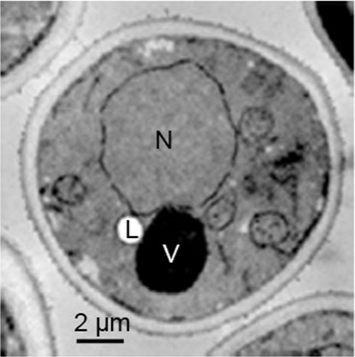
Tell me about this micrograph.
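This electron micrograph shows a yeast cell in cross-section, surrounded by a thick, pale grey cell wall, with parts of neighbouring cells at the corners. A large rounded nucleus occupies the centre, bounded by a thin dark envelope and filled with evenly grey material. Below it lies a dense, black vacuole. A small, round, white lipid droplet sits between the nucleus and the vacuole, touching both. Several smaller round membrane-bound profiles are scattered in the surrounding cytoplasm.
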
